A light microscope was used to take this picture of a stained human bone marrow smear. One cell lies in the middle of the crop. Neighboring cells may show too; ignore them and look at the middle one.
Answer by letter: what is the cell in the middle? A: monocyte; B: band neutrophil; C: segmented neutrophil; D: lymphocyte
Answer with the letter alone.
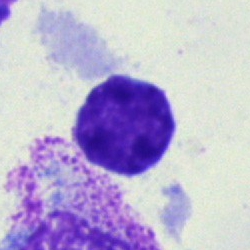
D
